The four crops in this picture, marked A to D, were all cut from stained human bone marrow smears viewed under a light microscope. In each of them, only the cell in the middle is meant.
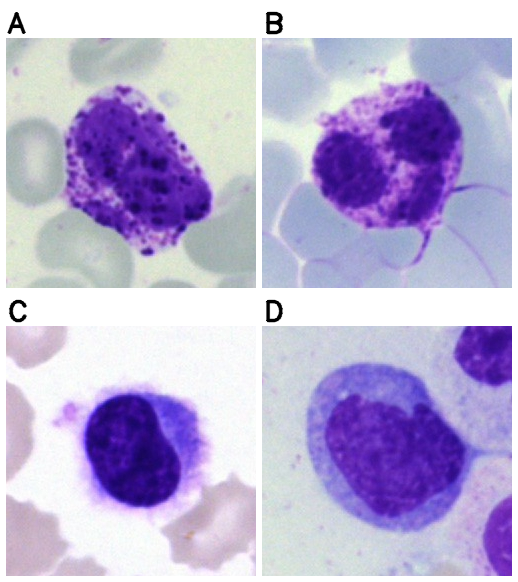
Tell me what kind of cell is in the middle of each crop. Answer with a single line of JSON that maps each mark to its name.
{"A": "basophil", "B": "basophil", "C": "hairy cell", "D": "monocyte"}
